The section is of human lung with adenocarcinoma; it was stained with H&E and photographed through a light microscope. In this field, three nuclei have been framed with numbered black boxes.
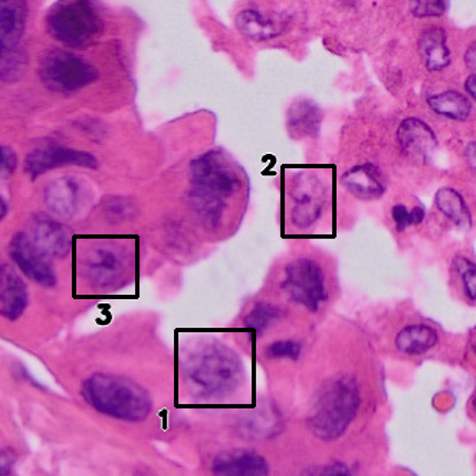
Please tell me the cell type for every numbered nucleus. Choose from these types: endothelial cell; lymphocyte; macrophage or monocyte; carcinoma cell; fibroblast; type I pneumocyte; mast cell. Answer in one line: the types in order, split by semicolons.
carcinoma cell; macrophage or monocyte; carcinoma cell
